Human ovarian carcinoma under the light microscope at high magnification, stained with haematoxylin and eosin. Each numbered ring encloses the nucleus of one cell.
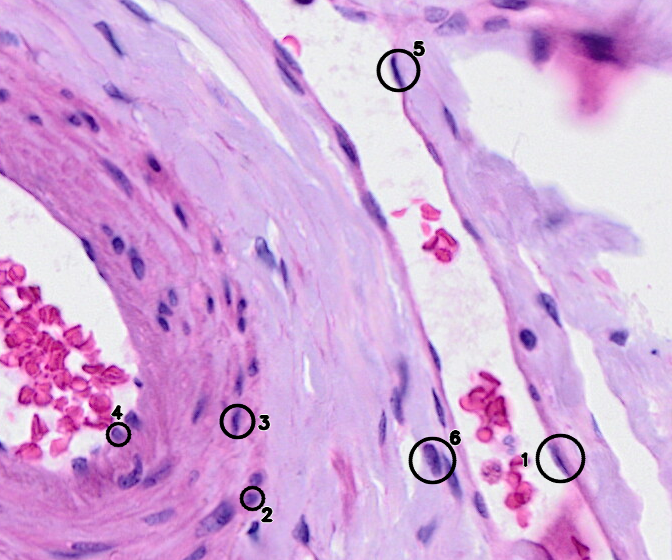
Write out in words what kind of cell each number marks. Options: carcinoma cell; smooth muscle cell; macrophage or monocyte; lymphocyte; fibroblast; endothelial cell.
Cell 1 is an endothelial cell, cell 2 is a smooth muscle cell, cell 3 is a smooth muscle cell, cell 4 is an endothelial cell, cell 5 is an endothelial cell and cell 6 is a fibroblast.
